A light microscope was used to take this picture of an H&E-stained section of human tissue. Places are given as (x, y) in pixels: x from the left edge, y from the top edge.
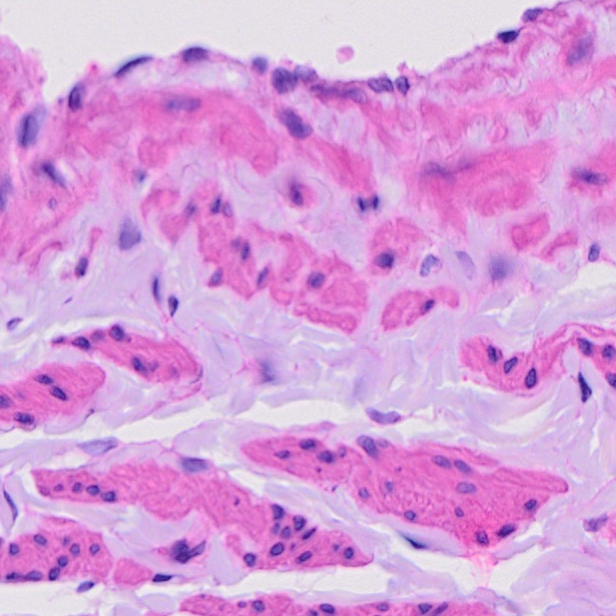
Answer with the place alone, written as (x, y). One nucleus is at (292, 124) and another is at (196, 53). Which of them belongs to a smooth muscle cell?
(292, 124)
